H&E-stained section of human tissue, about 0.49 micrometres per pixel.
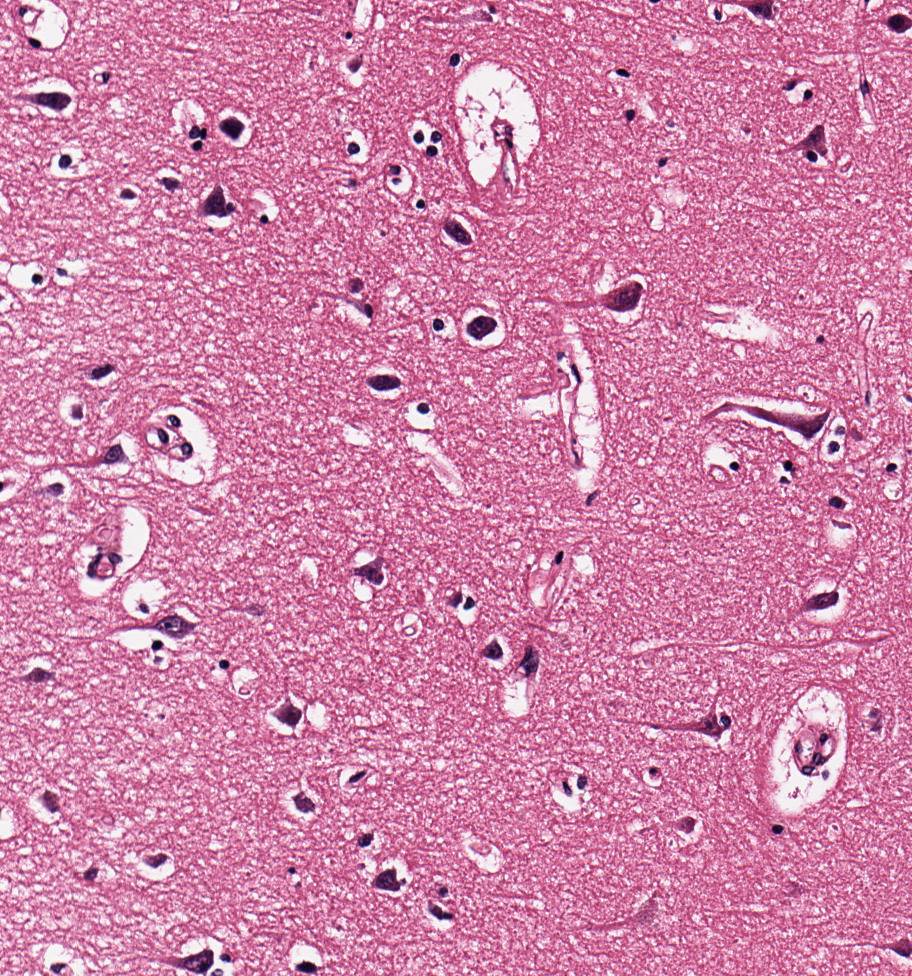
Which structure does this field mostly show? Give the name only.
cerebral cortex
